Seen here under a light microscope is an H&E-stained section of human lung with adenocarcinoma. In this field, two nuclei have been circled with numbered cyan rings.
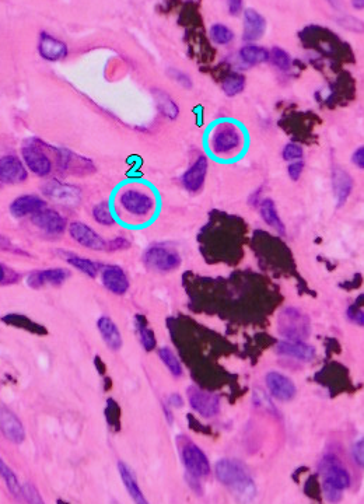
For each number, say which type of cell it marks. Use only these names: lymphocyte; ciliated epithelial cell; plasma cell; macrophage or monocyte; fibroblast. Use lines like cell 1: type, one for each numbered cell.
cell 1: plasma cell
cell 2: lymphocyte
